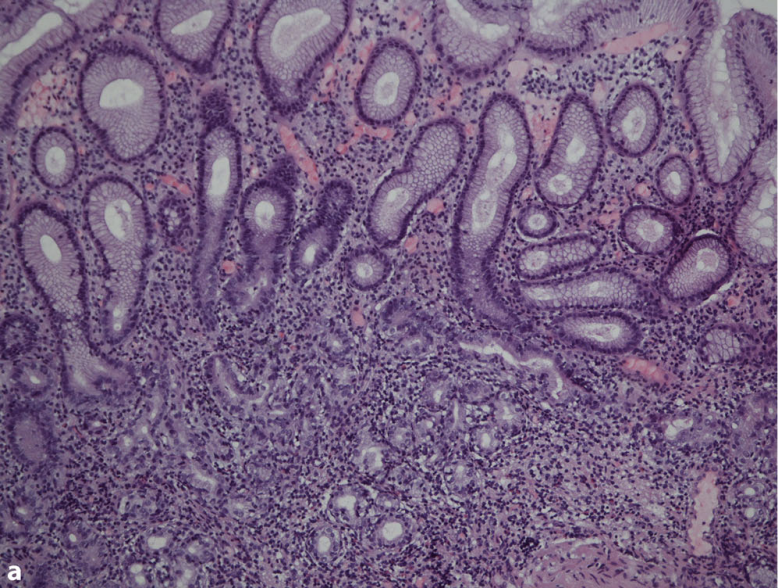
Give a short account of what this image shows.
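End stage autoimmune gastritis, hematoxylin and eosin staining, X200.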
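Gastric mucosa with foveolae and glands lined by tall columnar cells with pale, clear mucinous cytoplasm and basal dark nuclei, cut in various planes as round and elongated profiles. No glands with large pink-staining cells are seen. The lamina propria between the glands is crowded with small round cells with dark purple nuclei, the inflammatory infiltrate becoming densest in the deeper half of the mucosa, where smaller, scattered gland profiles lie among the cells. Pink, congested capillaries run between the superficial glands.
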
